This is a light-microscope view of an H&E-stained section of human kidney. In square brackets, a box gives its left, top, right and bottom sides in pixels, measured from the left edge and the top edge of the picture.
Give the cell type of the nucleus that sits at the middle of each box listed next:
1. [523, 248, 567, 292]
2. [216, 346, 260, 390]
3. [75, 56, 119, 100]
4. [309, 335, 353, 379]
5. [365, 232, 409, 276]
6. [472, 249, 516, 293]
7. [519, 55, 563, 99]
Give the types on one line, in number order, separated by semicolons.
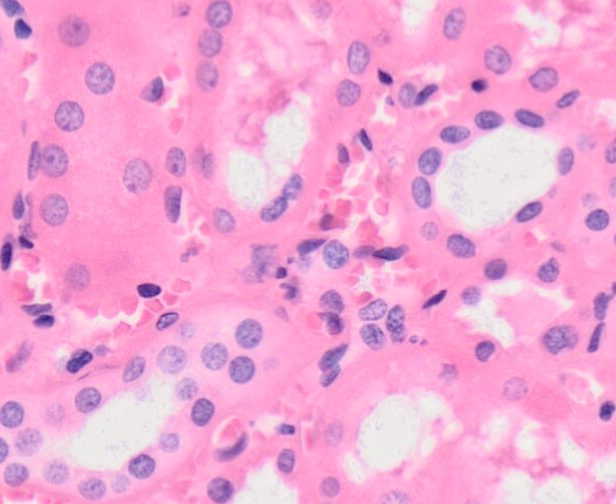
loop of Henle or distal tubule cell; collecting duct cell; proximal tubule cell; endothelial cell; endothelial cell; loop of Henle or distal tubule cell; proximal tubule cell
